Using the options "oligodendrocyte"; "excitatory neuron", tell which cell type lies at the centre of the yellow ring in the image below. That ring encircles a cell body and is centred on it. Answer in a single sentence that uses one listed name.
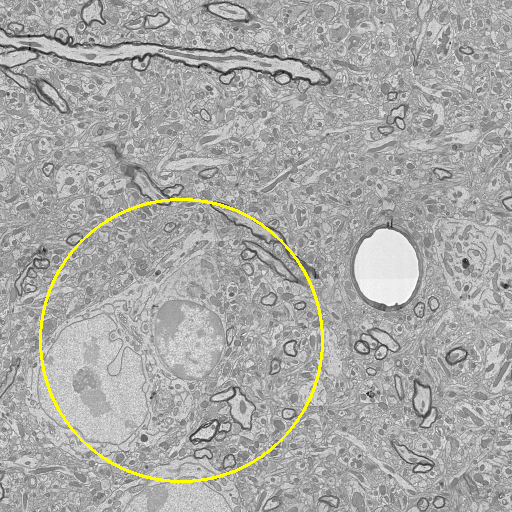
At the centre of the yellow ring lies the body of an oligodendrocyte.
